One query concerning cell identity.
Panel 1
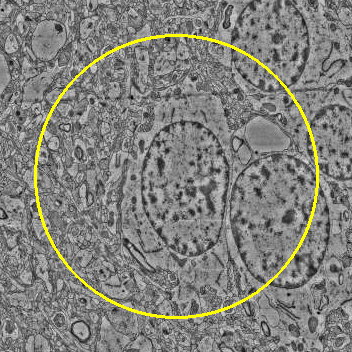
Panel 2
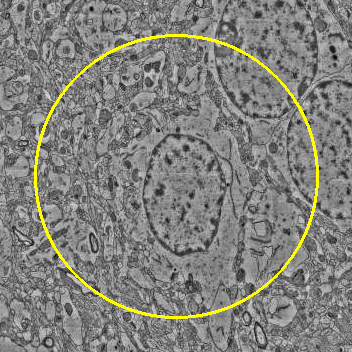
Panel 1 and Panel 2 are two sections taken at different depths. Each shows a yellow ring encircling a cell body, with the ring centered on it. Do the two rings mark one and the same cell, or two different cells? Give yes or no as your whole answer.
yes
